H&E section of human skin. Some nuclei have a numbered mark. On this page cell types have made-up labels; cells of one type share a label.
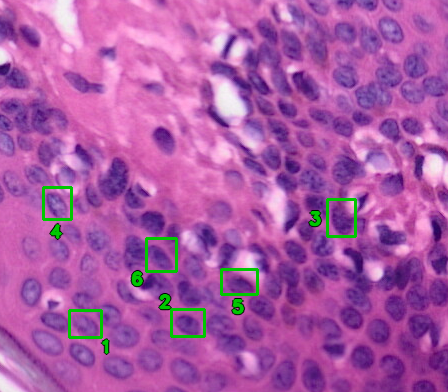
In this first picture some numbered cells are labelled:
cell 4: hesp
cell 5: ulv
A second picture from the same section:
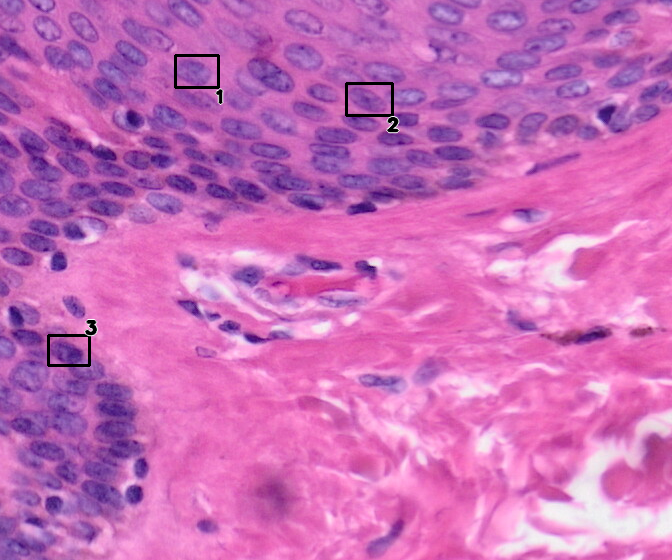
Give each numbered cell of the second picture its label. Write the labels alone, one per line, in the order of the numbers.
hesp
ulv
ulv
